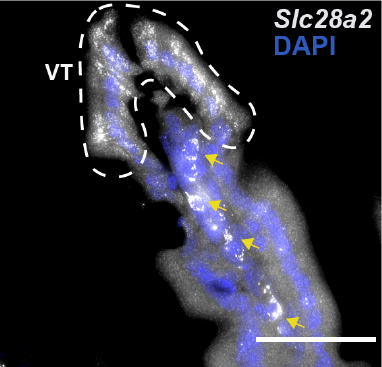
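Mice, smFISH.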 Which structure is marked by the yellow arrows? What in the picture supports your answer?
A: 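Bright, large white spots lie at the yellow arrows. The spots are much bigger than the fine dots elsewhere. They lie inside the tissue core, not in the outlined surface layer. On this evidence: autofluorescent blobs.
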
